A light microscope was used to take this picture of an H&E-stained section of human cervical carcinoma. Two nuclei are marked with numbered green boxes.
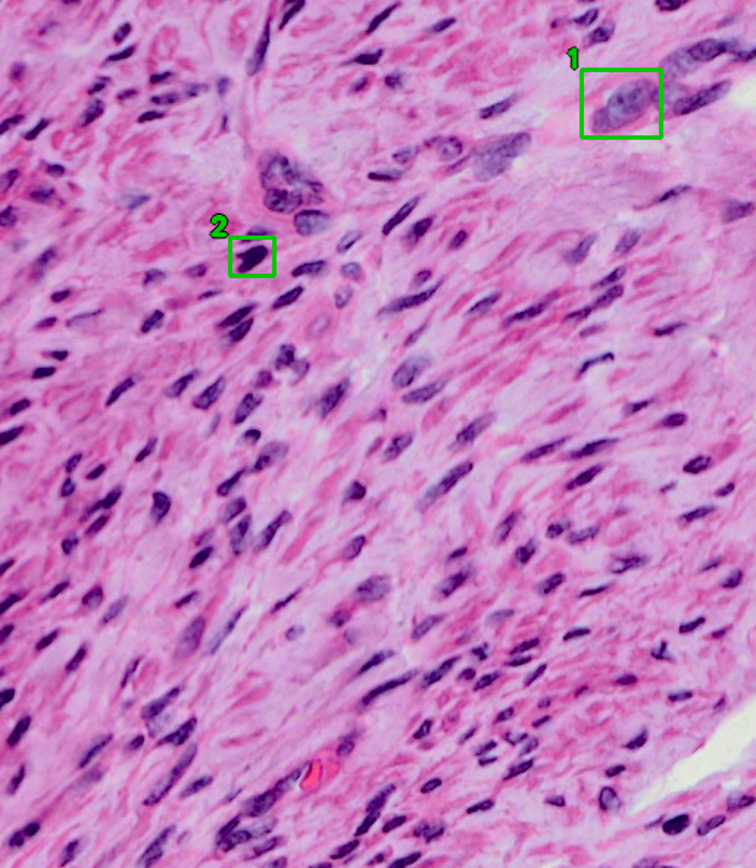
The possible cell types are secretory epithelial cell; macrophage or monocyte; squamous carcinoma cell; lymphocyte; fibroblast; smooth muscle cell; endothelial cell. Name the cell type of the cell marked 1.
endothelial cell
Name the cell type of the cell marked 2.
lymphocyte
